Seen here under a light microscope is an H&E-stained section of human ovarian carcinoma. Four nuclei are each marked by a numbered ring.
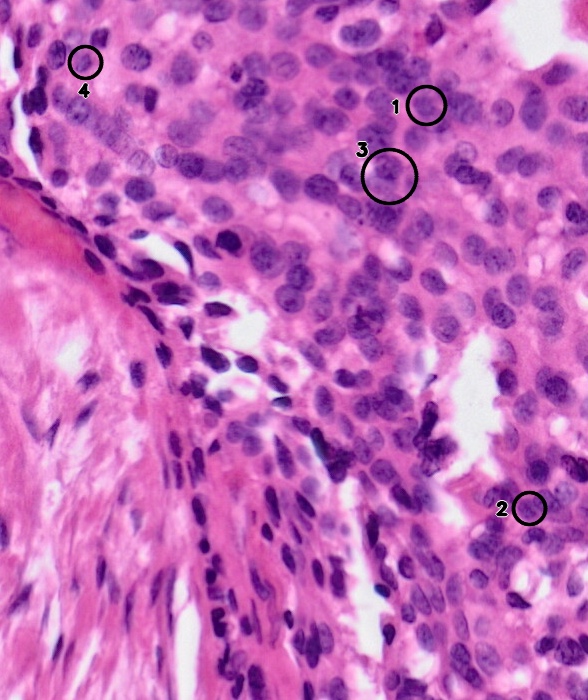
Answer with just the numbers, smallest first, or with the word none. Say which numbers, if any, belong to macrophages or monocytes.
4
